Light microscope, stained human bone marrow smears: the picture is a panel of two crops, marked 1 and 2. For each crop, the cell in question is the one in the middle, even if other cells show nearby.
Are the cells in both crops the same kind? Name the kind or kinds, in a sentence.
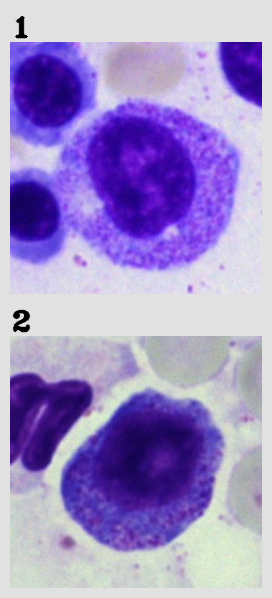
Yes, both crops show promyelocytes, and the two match.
